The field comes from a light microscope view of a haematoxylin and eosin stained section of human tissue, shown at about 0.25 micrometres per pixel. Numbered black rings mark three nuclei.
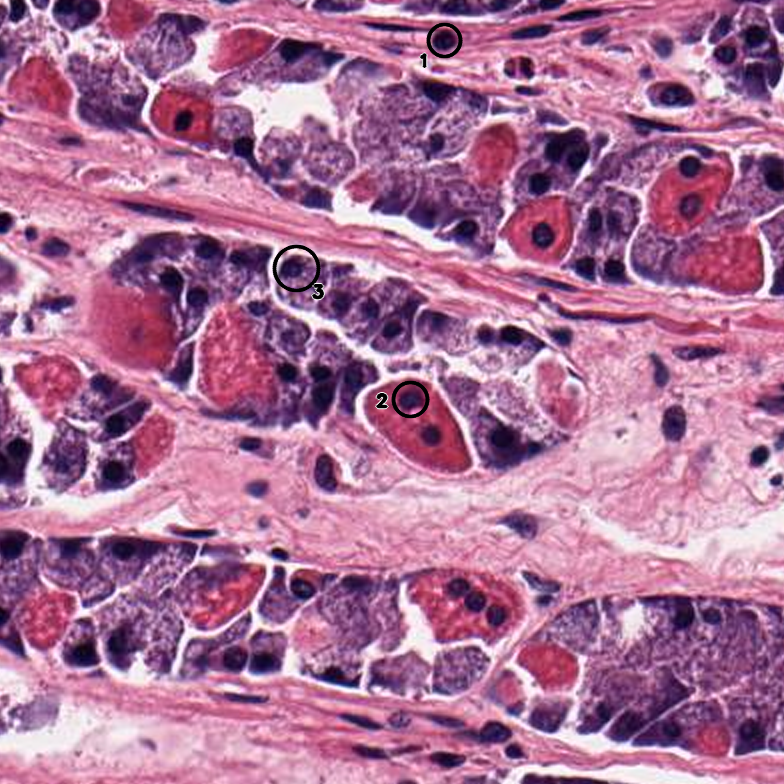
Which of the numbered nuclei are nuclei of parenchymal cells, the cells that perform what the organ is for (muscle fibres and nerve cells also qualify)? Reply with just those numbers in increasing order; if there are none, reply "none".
2, 3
